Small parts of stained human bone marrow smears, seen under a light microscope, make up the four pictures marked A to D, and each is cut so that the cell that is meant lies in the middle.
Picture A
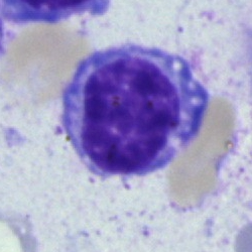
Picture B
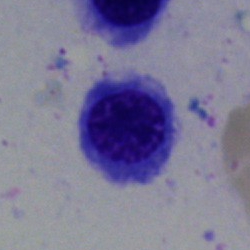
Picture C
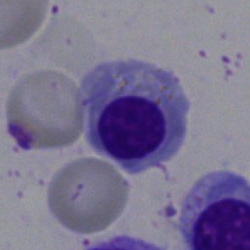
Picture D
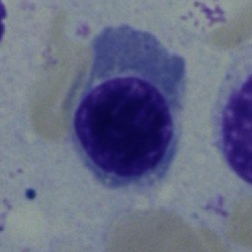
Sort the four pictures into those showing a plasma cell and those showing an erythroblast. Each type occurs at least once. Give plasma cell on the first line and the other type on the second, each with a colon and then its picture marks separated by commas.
plasma cell: A
erythroblast: B, C, D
